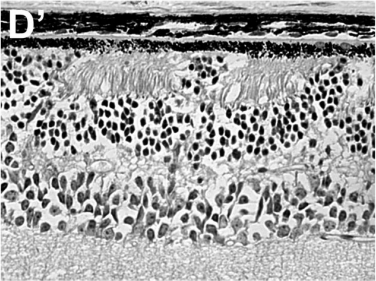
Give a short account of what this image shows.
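This outer retina is disorganized: clusters of small, dark photoreceptor nuclei protrude outward into the subretinal space among pale fibrillar material, so the outer nuclear layer has no straight outer border. Beneath them lie inner nuclear layer cells with larger, paler, oval nuclei, and the dark pigmented layer runs along the top.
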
